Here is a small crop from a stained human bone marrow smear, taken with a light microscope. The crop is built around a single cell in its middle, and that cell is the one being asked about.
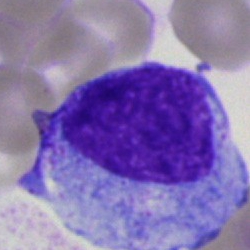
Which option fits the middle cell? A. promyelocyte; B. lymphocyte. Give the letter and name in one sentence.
The cell in the middle is correctly identified as a promyelocyte in option A.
